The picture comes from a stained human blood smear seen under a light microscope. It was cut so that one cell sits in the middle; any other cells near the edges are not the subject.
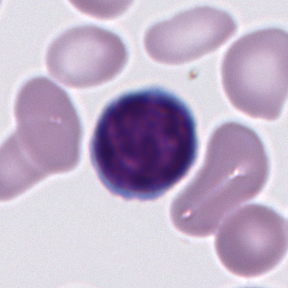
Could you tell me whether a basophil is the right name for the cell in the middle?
no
